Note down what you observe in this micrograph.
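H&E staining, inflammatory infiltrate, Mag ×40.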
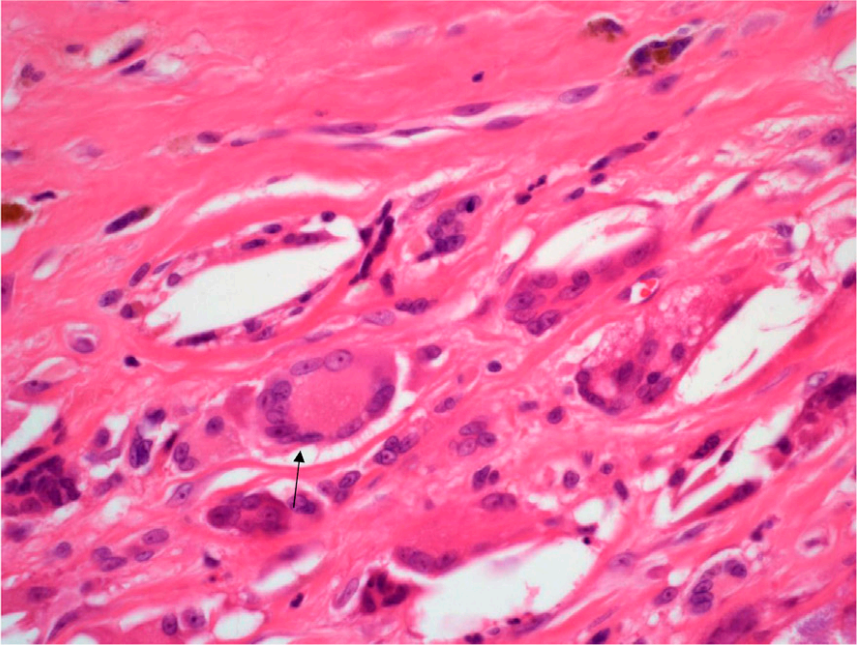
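The marked giant cell has its nuclei arranged as a wreath around a central zone of homogeneous pink cytoplasm. Other multinucleated cells and mononuclear cells lie between bands of dense pink collagen. Elongated empty clefts are scattered through the tissue, partly surrounded by cells. A few cells contain brown pigment.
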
